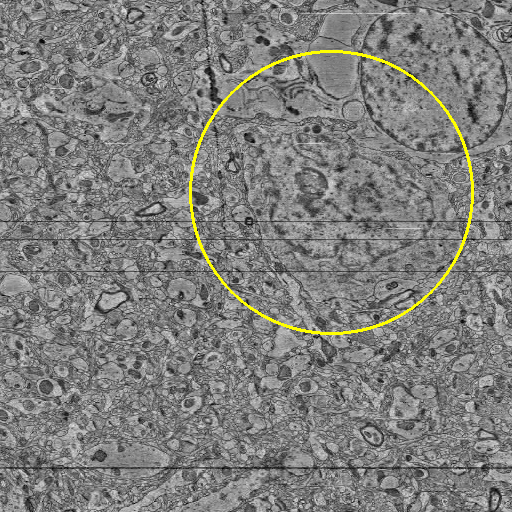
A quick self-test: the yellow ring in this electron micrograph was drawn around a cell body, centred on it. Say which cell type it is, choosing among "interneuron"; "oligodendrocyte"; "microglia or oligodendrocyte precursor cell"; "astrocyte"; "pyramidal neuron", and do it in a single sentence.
The yellow-ringed cell is an interneuron.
